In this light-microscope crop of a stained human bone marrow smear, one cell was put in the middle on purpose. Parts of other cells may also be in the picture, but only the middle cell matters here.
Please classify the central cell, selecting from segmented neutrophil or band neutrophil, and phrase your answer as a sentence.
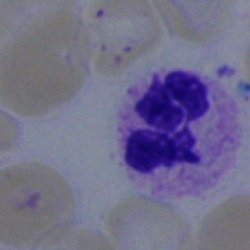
The cell of interest, in the center, is a segmented neutrophil.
